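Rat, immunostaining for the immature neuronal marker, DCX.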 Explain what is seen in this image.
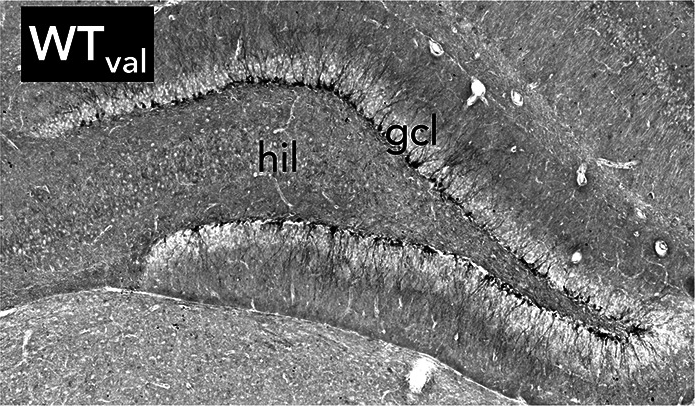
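This section shows the granule cell layer folded into a V-shaped band around the hilus, which sits in the middle. A thin, nearly continuous row of small, darkly stained cell bodies lines the inner, hilar edge of both blades of the granule cell layer. The hilus itself is a mid-grey area with only scattered cells and a few blood vessel profiles. The surrounding tissue is more uniformly grey, with occasional vessels cut in cross-section.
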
